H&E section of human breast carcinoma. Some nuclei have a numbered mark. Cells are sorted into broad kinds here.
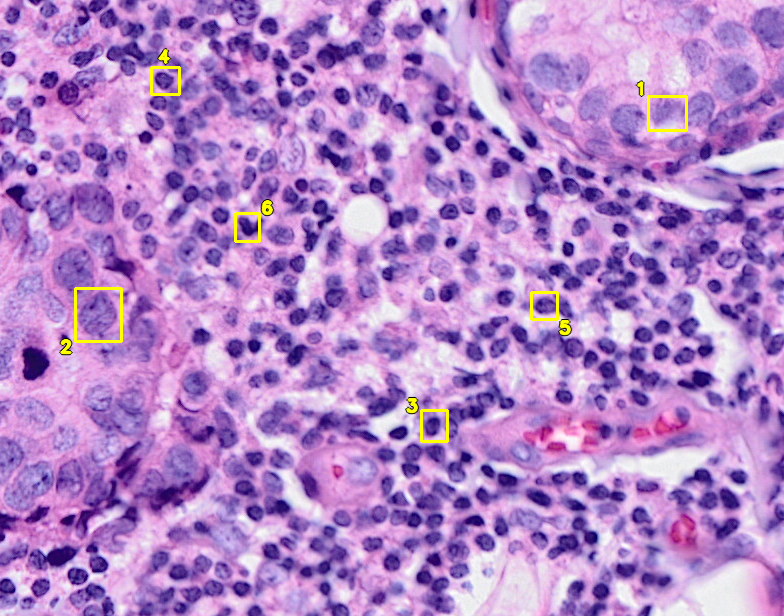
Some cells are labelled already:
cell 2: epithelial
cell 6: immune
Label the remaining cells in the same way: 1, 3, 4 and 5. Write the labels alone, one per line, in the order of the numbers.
epithelial
immune
immune
immune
